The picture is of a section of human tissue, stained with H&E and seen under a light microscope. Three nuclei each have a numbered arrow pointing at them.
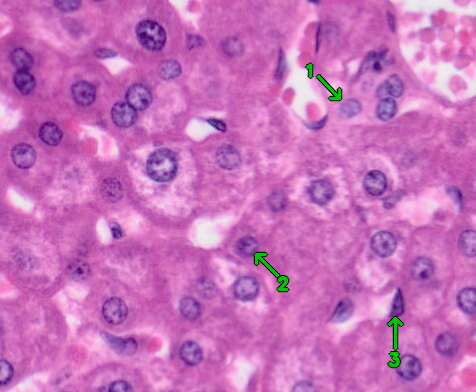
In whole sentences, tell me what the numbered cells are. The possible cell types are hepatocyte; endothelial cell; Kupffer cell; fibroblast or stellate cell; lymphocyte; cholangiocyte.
Cell 1 is a cholangiocyte, cell 2 is a hepatocyte and cell 3 is an endothelial cell.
